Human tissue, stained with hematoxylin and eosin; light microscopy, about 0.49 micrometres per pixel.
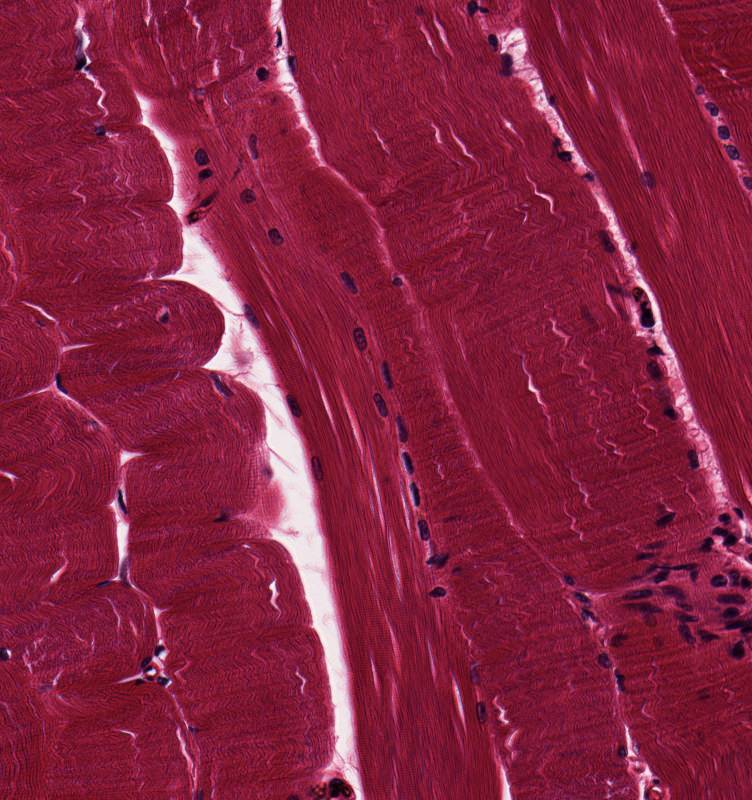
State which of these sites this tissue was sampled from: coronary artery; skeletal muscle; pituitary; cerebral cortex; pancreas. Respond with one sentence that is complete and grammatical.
Sampled from the skeletal muscle is the tissue in this section.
